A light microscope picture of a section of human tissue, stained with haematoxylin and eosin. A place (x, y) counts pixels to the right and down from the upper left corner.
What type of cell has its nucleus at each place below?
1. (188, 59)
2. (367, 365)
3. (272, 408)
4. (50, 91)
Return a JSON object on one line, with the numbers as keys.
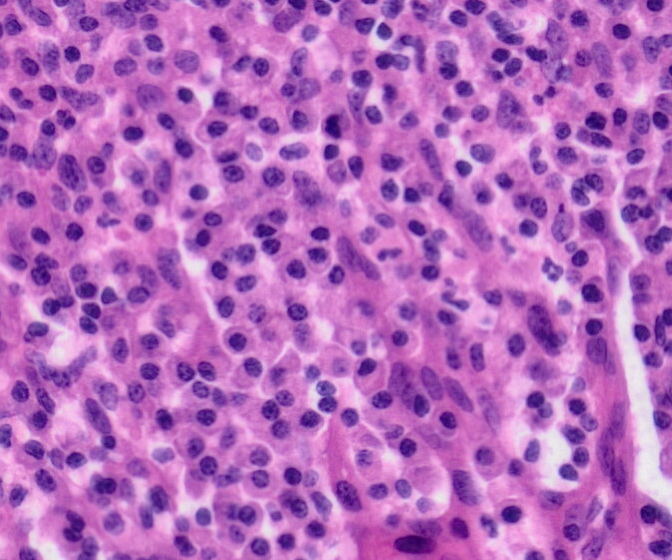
{"1": "squamous epithelial cell", "2": "plasma cell", "3": "plasma cell", "4": "plasma cell"}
